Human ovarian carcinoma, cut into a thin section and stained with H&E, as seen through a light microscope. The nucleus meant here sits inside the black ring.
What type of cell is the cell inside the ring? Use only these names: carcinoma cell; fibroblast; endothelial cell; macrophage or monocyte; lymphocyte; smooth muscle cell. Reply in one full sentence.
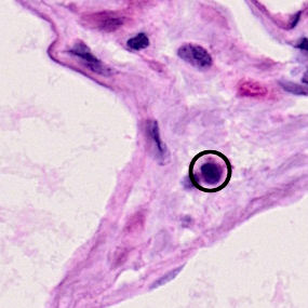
To be brief about it, the cell inside the ring is a lymphocyte.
